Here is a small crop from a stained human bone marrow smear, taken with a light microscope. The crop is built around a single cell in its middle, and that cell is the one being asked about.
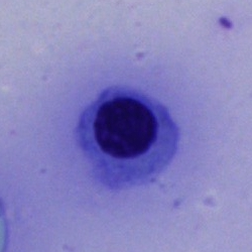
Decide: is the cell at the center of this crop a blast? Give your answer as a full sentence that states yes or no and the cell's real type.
No, the cell in the middle is not a blast but an erythroblast.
